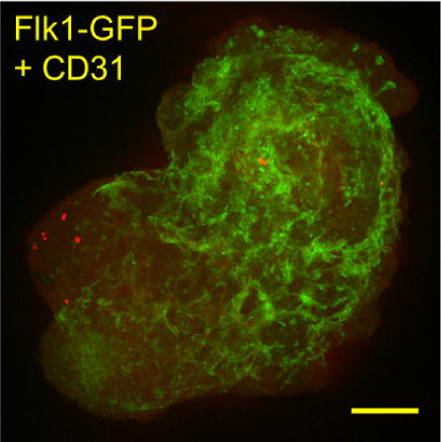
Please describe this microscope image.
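This is a whole small tissue aggregate seen at low magnification, in which a vascular network has formed. The green strands branch and reconnect into a dense meshwork that runs through most of the aggregate, leaving a dimmer rim at the edges. The strands are thin and irregular, forming loops of varied size rather than a single tube. Red appears only as a few scattered bright dots, a handful of them near the left edge and some within the mesh. Single cells cannot be told apart at this scale; what shows is the pattern of the network within the tissue.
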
